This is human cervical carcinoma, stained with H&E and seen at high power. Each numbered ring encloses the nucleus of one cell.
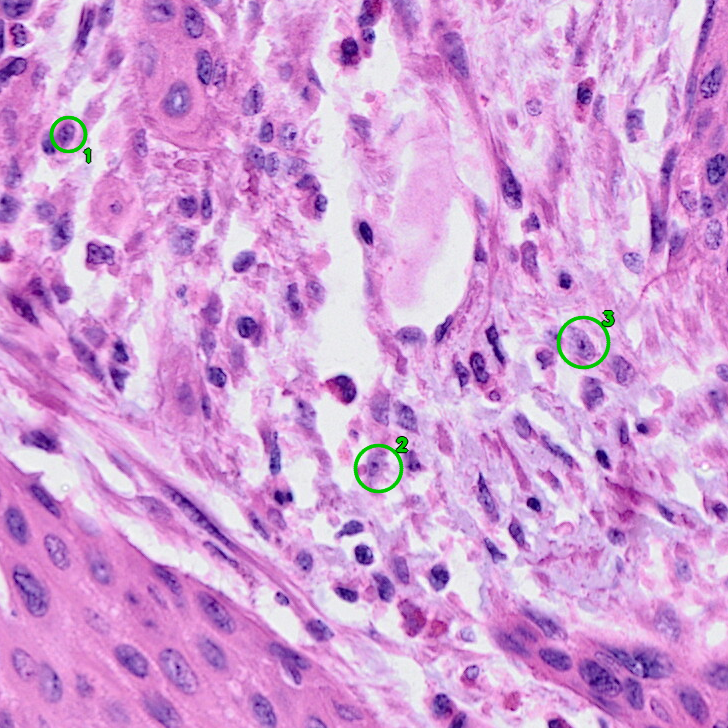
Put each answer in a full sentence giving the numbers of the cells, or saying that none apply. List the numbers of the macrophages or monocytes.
Cell 1 is the only numbered cell that is a macrophage or monocyte.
